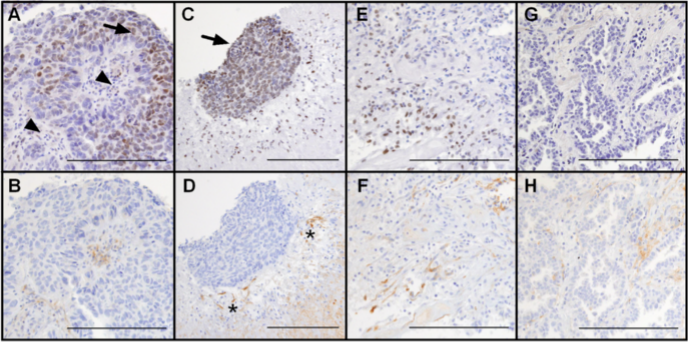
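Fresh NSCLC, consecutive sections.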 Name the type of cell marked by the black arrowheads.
stroma cells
